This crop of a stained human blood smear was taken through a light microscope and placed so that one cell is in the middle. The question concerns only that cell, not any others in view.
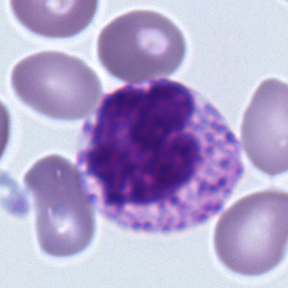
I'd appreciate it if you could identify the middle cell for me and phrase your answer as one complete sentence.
Standing at the centre of this crop is a basophil.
